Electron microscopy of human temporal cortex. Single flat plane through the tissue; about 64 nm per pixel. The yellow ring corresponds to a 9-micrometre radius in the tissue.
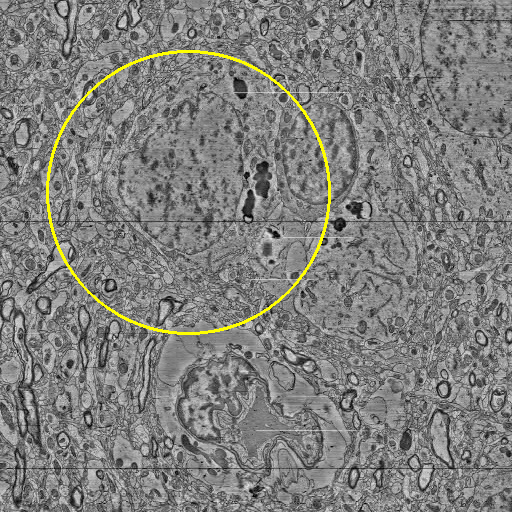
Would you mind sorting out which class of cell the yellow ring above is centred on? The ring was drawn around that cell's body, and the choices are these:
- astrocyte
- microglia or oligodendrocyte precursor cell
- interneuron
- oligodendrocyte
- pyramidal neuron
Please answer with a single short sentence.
This is the cell body of an interneuron.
